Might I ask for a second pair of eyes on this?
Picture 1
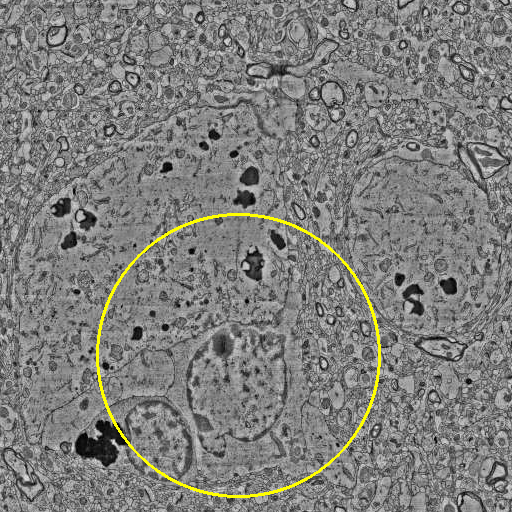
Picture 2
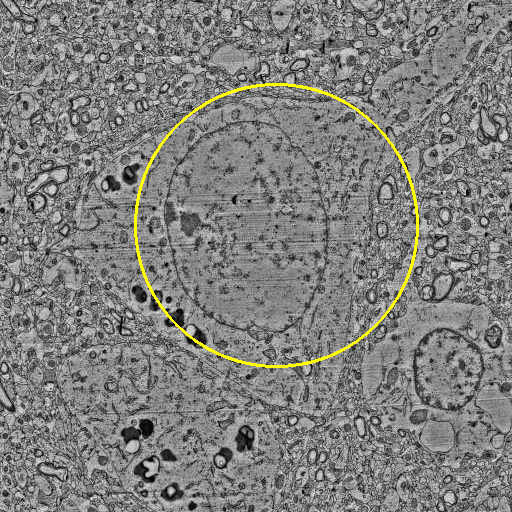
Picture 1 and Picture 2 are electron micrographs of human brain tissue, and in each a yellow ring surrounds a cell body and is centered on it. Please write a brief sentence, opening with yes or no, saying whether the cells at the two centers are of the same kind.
No, the cells are of two kinds.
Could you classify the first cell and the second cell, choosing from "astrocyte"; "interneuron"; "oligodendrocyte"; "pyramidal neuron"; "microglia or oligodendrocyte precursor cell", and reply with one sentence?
The second cell is a pyramidal neuron, while the first is a microglial cell or oligodendrocyte precursor cell.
